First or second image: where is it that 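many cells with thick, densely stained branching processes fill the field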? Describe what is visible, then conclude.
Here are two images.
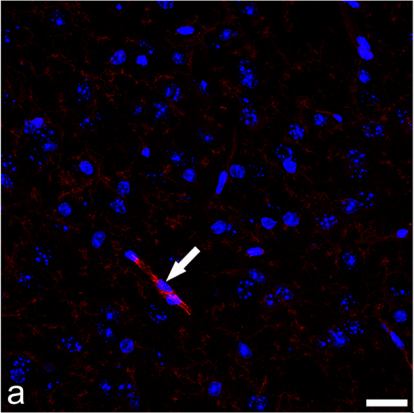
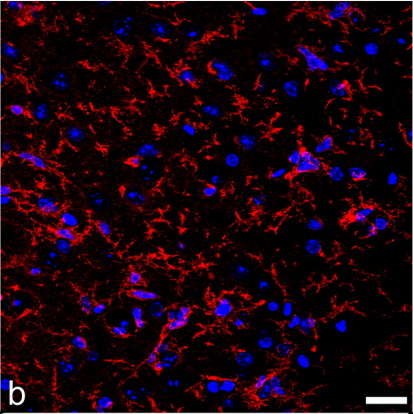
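Second image: numerous bright red cells with stout branching processes throughout. First image: only faint red background with one red elongated structure; blue nuclei dominate. That points to this answer: the second image.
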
